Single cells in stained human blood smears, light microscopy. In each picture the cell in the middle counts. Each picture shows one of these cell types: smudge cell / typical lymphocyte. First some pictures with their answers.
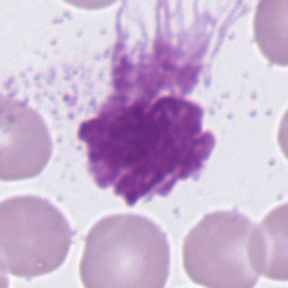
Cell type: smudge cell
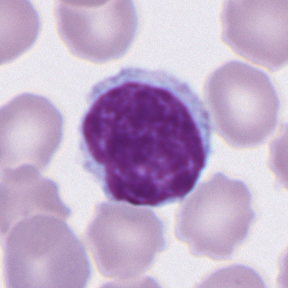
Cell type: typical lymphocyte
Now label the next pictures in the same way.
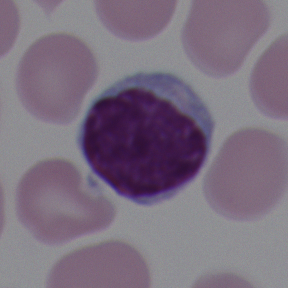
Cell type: typical lymphocyte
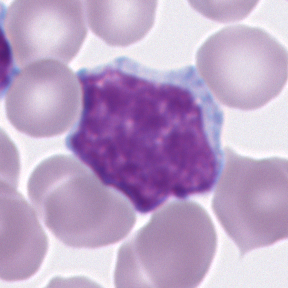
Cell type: typical lymphocyte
